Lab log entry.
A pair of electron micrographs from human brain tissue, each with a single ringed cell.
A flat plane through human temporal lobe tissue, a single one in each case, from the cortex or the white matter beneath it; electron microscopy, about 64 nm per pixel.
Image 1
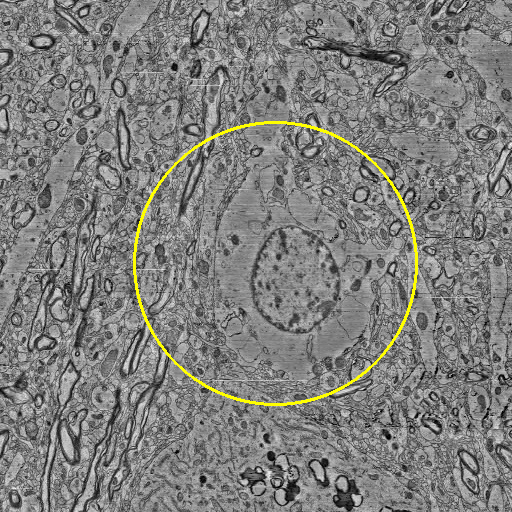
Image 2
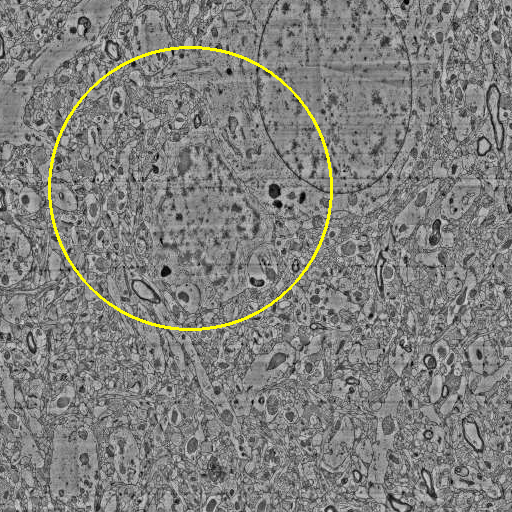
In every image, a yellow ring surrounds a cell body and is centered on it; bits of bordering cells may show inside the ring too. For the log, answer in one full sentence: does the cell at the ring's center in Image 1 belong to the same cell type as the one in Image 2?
No, the cells at the ring centers in Image 1 and Image 2 are of separate types.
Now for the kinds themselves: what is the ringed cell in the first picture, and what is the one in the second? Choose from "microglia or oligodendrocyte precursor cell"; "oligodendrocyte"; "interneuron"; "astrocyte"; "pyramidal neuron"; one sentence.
Here the first cell is an astrocyte and the second cell is an interneuron.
